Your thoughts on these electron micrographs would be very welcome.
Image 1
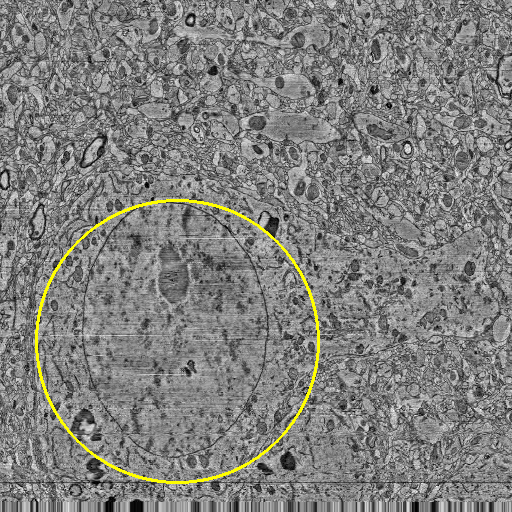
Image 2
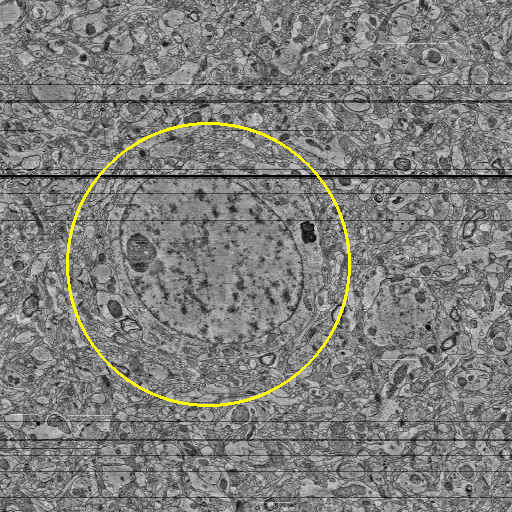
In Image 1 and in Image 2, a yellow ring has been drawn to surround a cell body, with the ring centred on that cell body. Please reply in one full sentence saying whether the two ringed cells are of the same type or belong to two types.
The ringed cells in Image 1 and Image 2 are of the same type.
